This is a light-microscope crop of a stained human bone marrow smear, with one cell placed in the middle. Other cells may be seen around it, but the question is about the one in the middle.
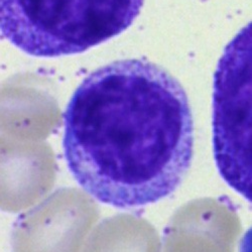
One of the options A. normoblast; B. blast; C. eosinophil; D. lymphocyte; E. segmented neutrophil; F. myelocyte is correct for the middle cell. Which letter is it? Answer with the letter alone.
F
